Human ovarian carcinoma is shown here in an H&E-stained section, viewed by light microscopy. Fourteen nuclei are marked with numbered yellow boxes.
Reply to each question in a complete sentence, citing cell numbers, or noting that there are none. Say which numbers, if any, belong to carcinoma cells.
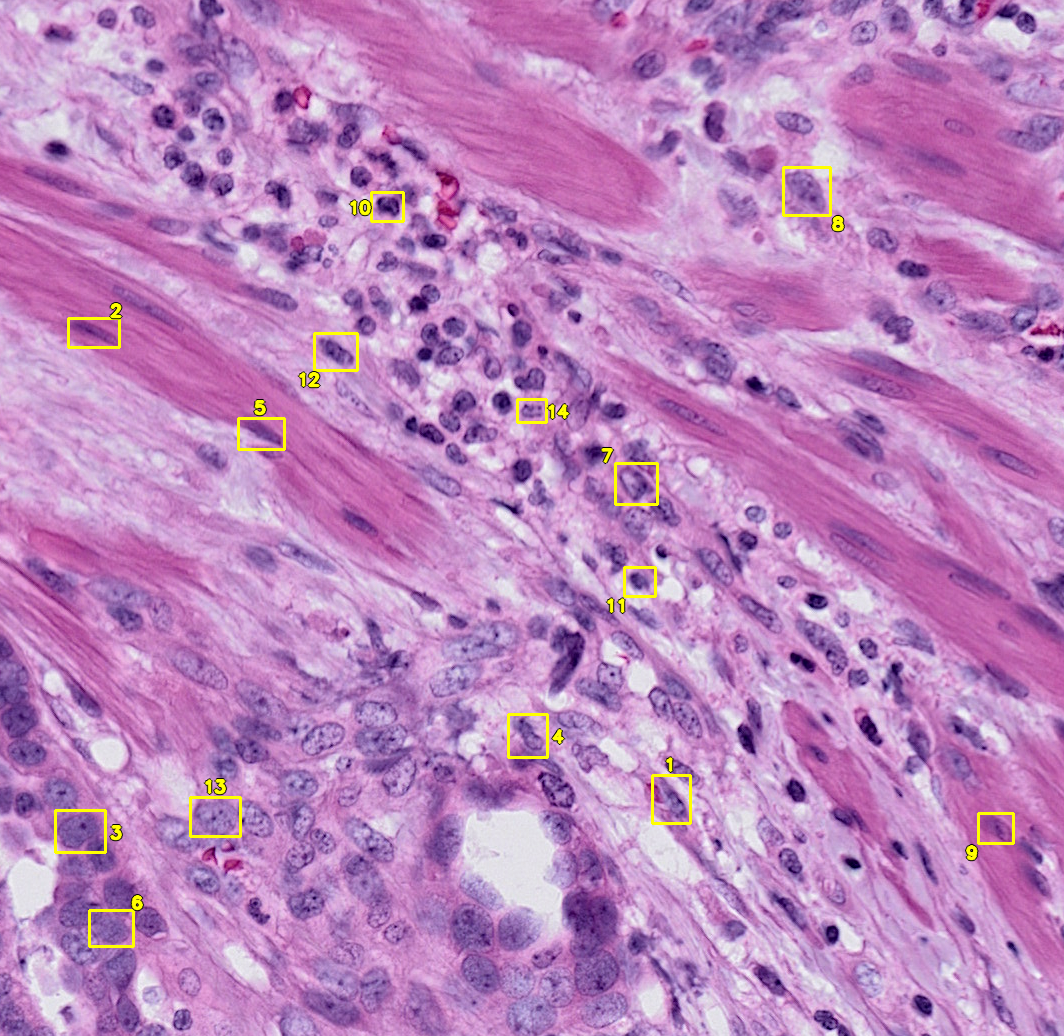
Classified as carcinoma cells are the cells numbered 3 and 6.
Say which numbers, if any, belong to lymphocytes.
To be specific, the cells numbered 10 and 11 are lymphocytes.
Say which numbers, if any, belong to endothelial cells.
The cells identified by the numbers 1, 7 and 13 are endothelial cells.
